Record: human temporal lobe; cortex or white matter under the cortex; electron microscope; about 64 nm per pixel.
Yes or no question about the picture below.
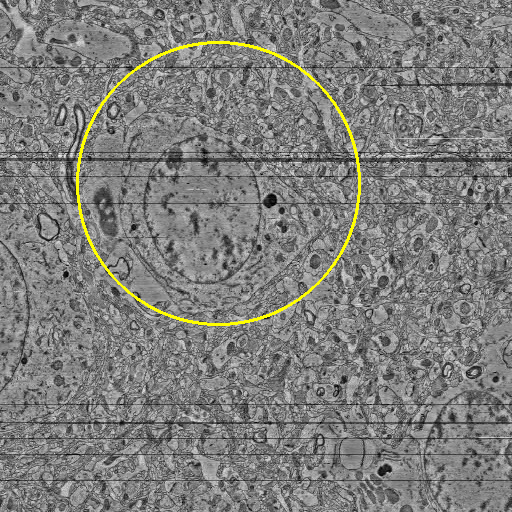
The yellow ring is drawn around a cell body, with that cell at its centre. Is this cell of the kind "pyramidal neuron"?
yes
